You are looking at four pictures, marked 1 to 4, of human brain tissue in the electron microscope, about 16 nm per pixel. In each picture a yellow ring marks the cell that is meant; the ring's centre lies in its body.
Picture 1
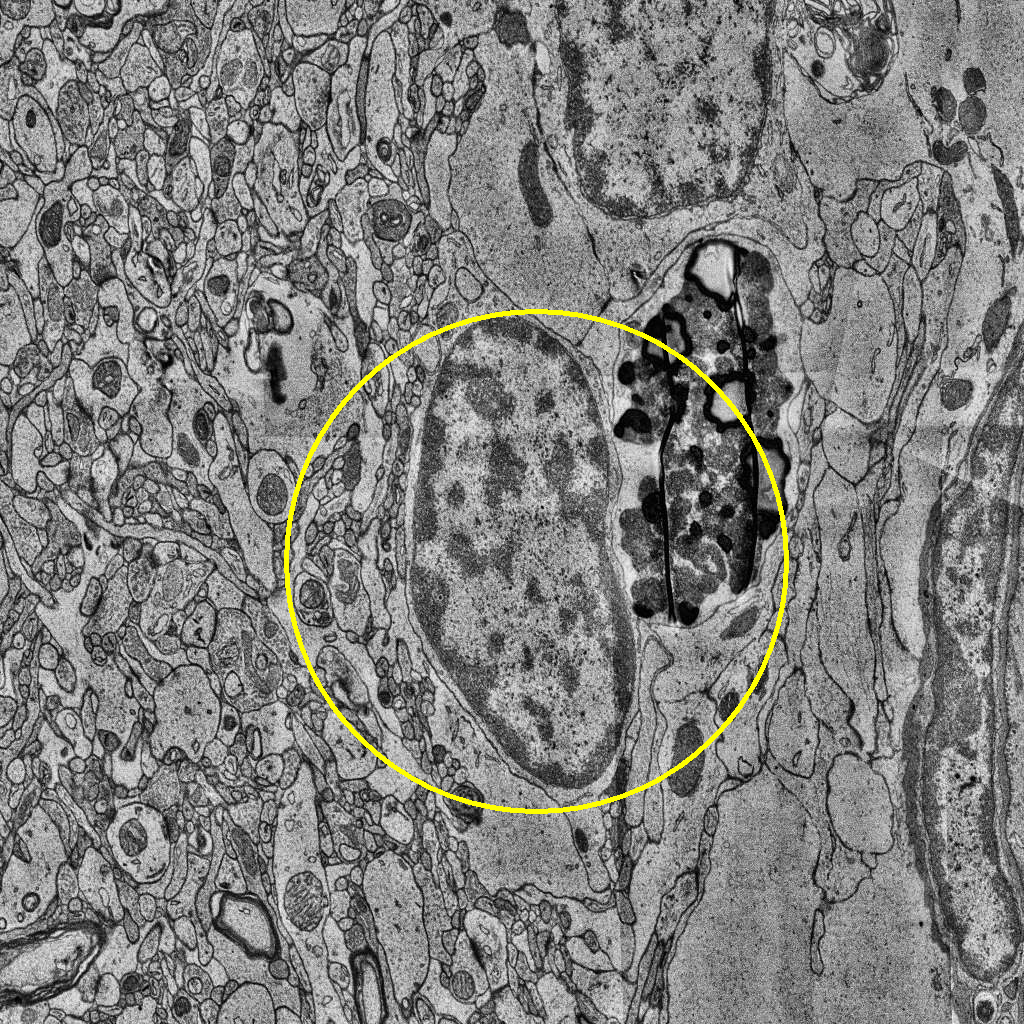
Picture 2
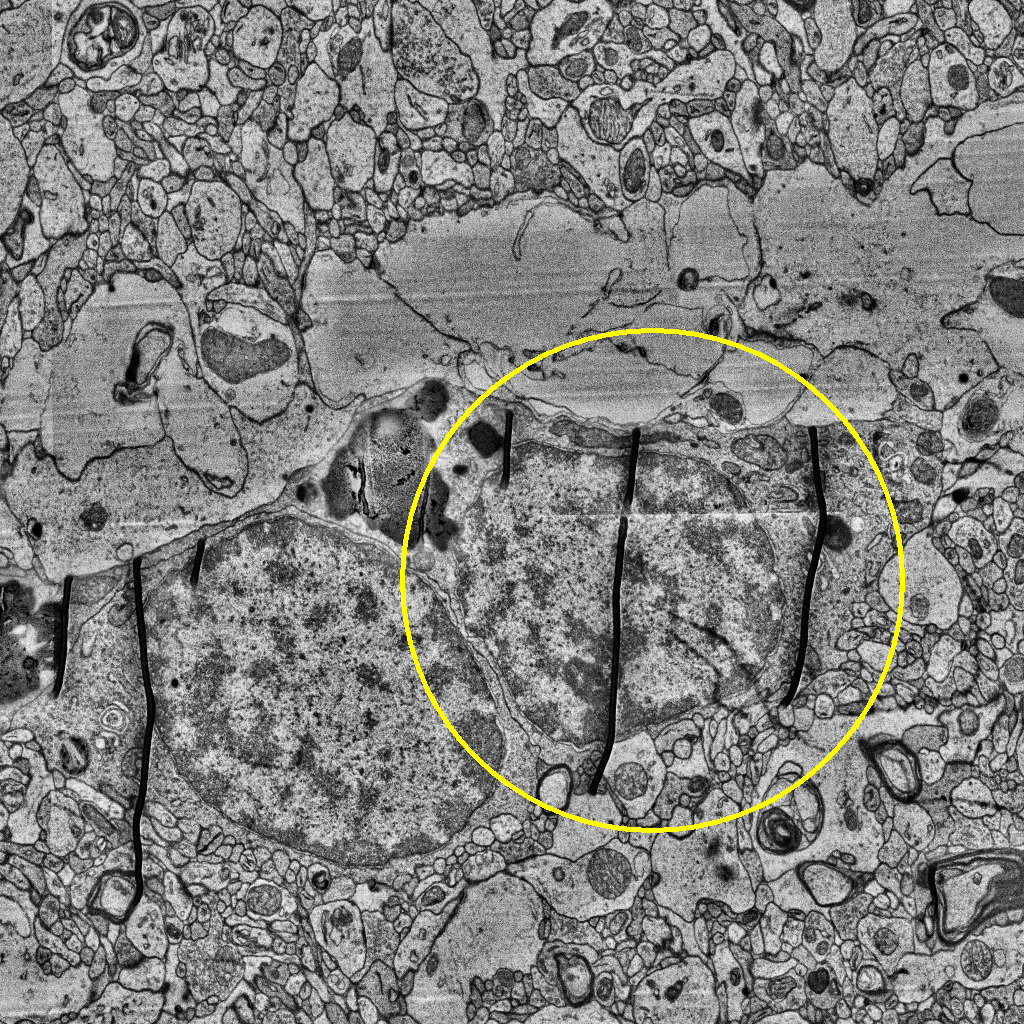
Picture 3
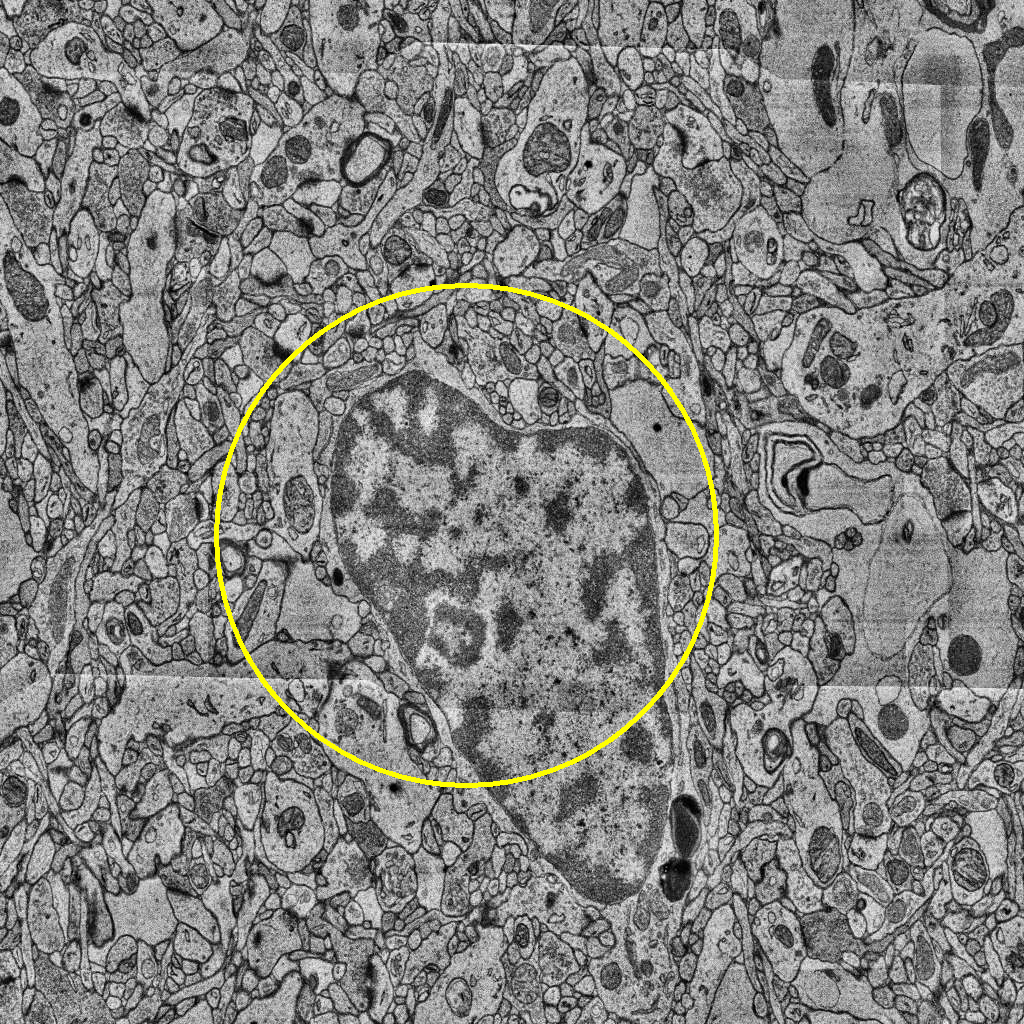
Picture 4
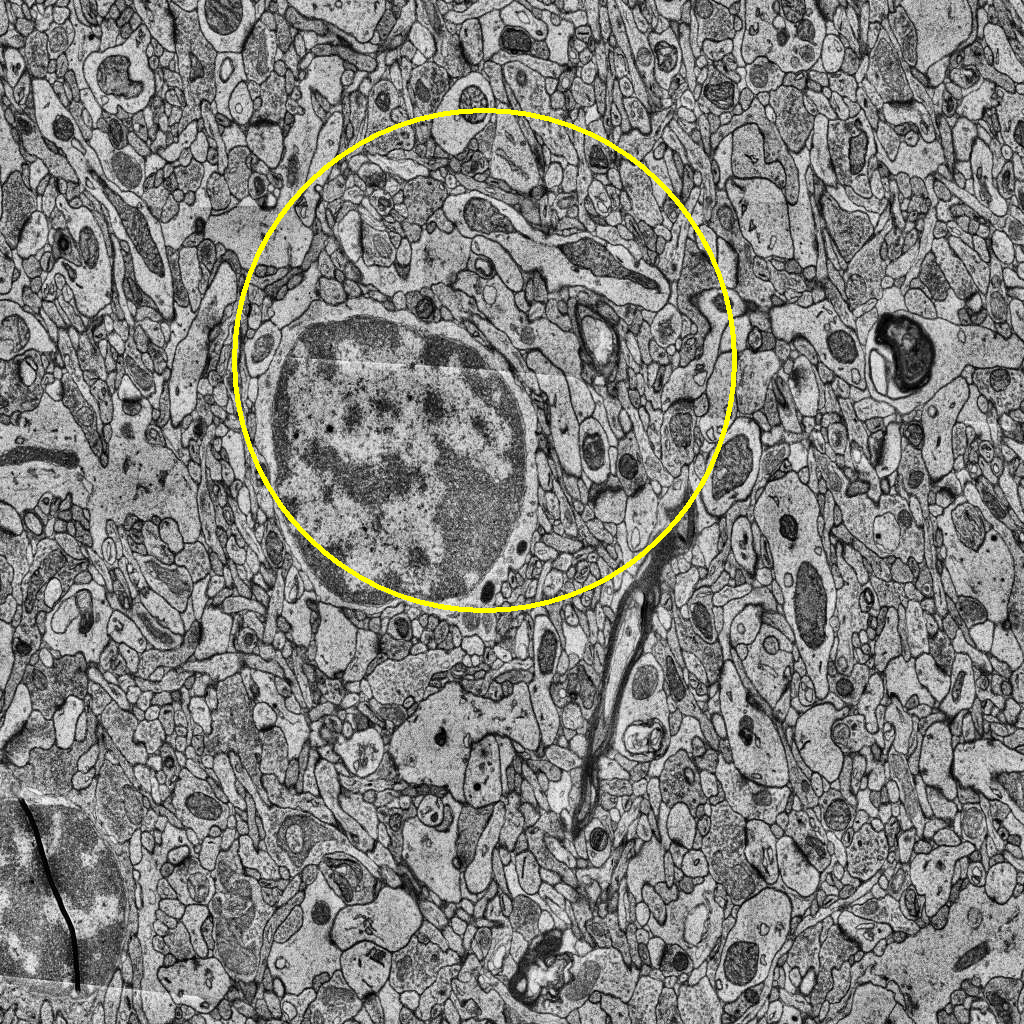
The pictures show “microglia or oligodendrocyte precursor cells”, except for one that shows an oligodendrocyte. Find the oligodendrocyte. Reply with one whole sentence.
The oligodendrocyte is the one in picture 2.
